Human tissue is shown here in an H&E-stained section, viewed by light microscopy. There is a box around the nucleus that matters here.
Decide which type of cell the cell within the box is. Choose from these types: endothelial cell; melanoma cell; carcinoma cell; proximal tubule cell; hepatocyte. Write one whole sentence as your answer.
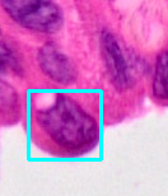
As a matter of cell type, the cell within the box is a carcinoma cell.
